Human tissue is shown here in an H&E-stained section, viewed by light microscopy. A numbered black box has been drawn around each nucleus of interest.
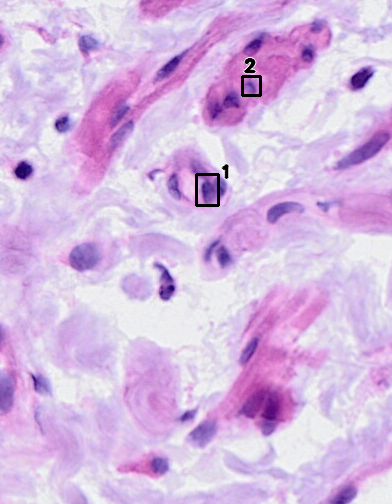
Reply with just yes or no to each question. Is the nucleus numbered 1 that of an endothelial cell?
yes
